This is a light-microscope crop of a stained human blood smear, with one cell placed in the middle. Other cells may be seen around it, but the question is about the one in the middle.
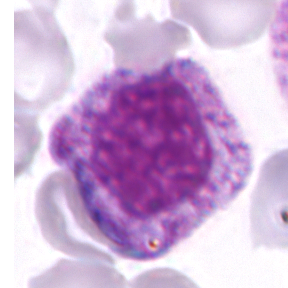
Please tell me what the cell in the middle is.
myelocyte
